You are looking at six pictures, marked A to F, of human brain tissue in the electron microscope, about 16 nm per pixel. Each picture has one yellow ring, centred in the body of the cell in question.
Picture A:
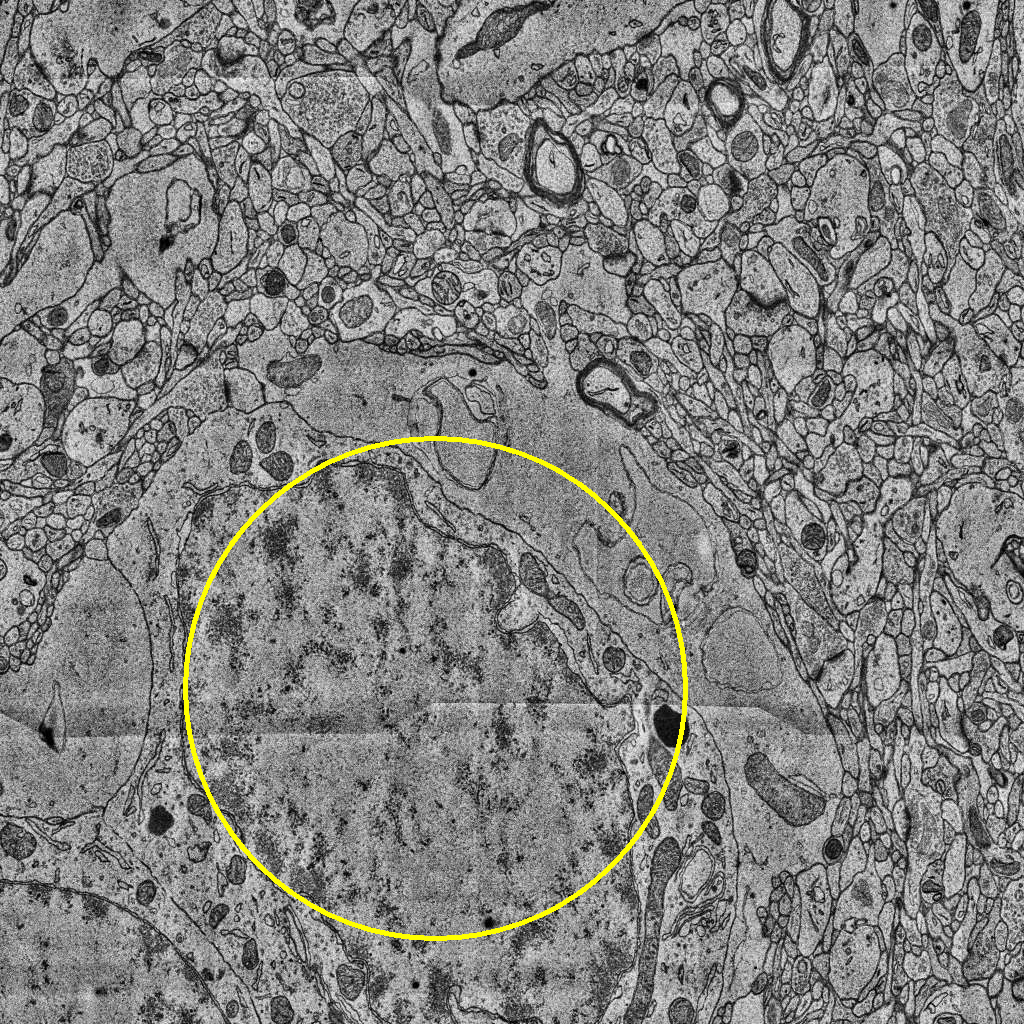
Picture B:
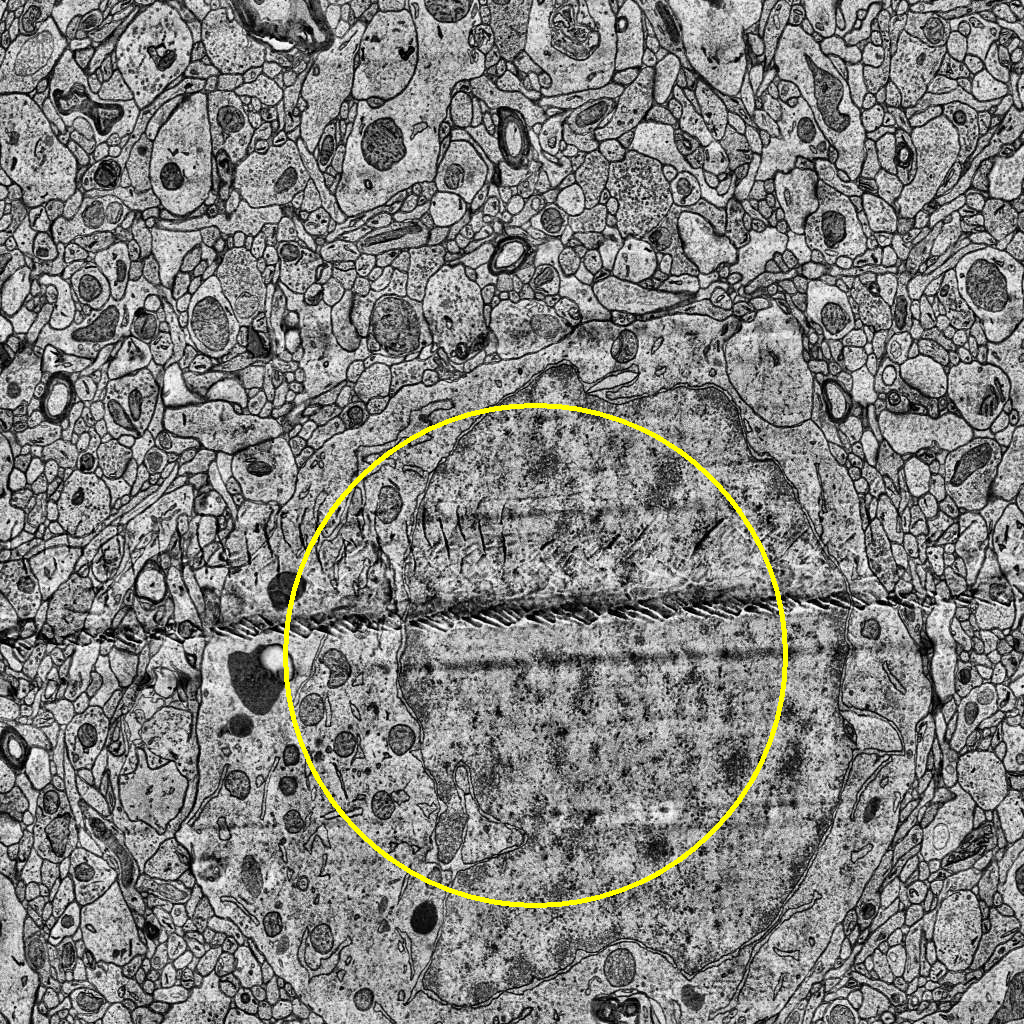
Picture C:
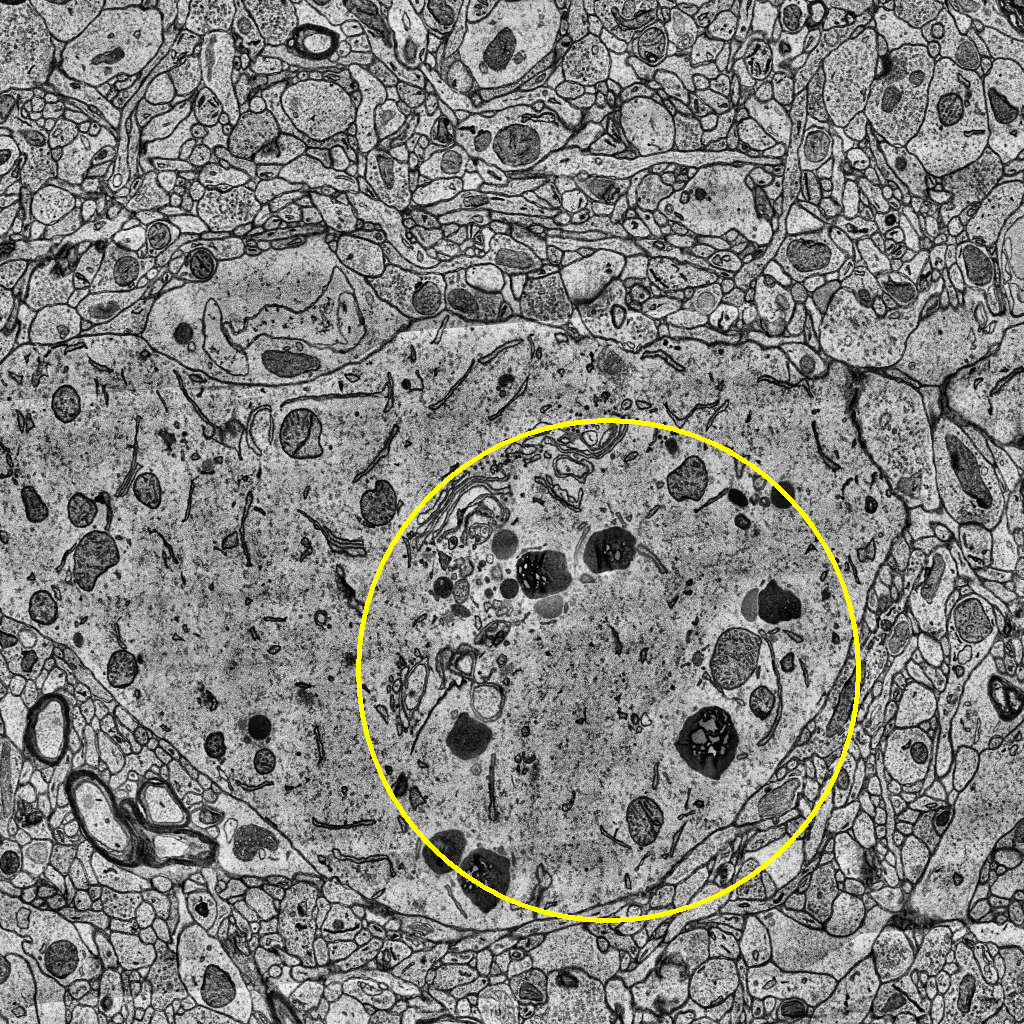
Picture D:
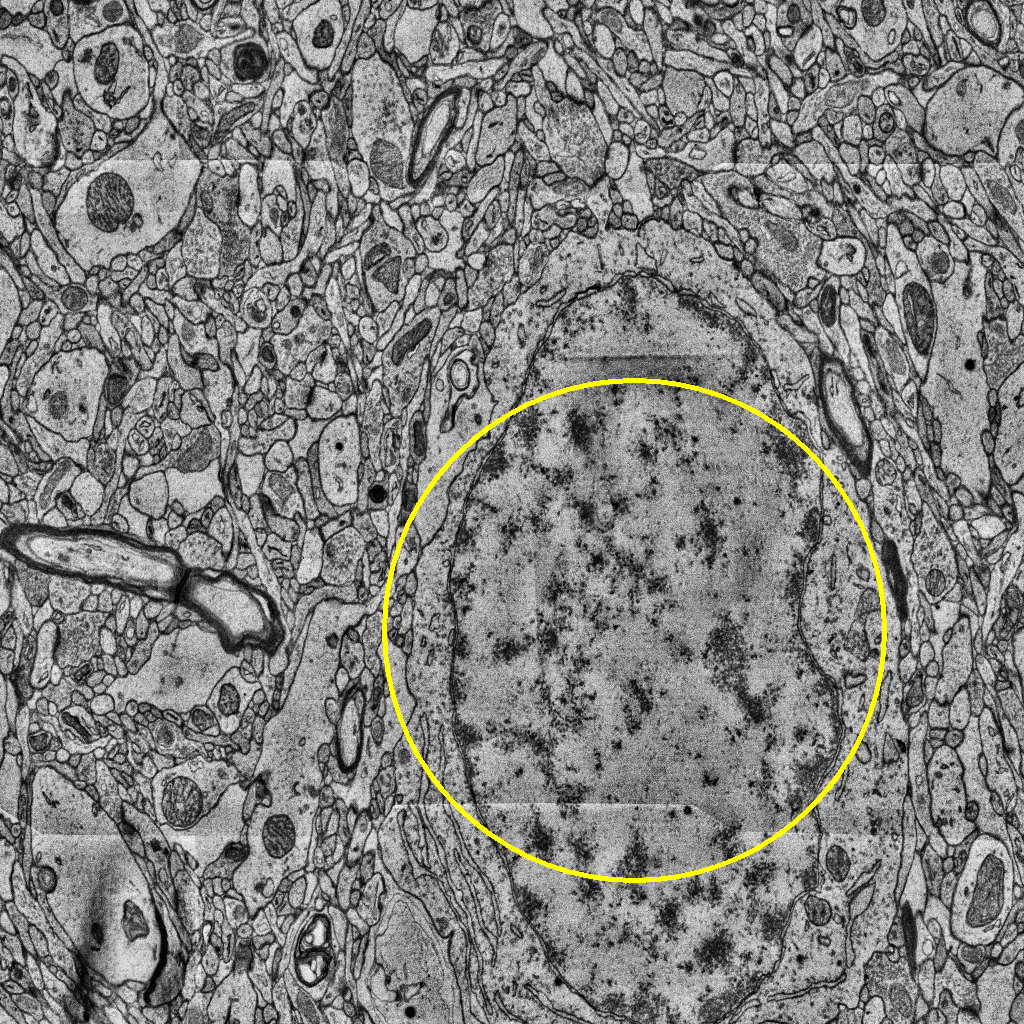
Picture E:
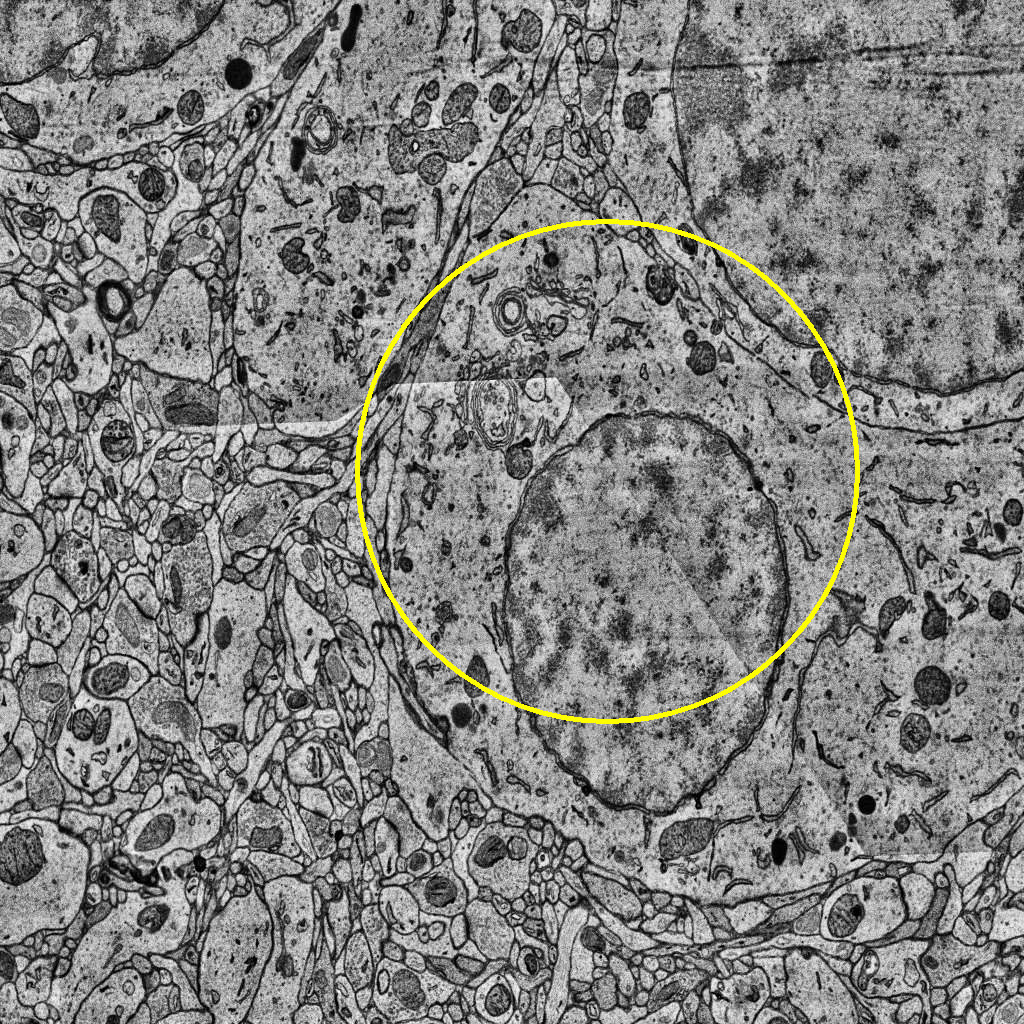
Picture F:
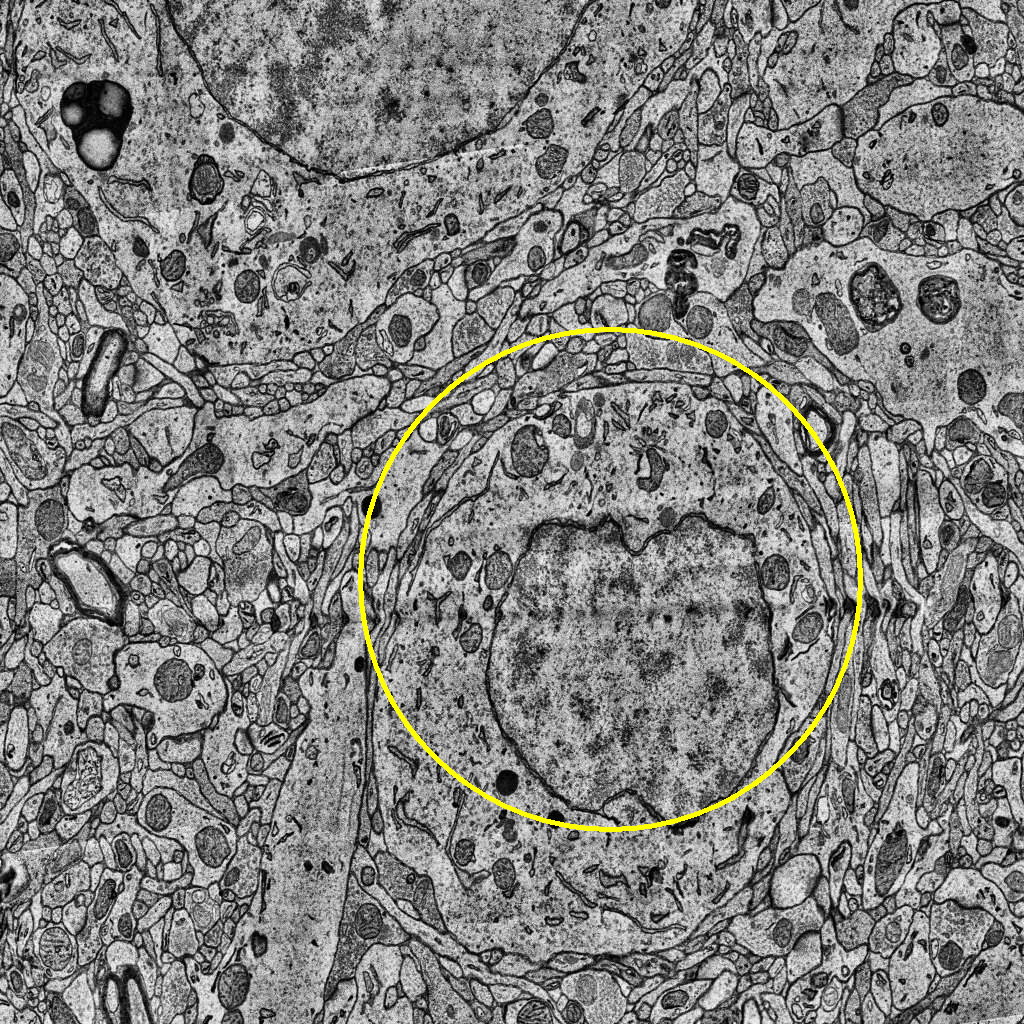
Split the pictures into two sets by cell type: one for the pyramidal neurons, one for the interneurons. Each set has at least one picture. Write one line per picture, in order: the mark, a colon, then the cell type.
A: interneuron
B: interneuron
C: pyramidal neuron
D: interneuron
E: pyramidal neuron
F: pyramidal neuron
